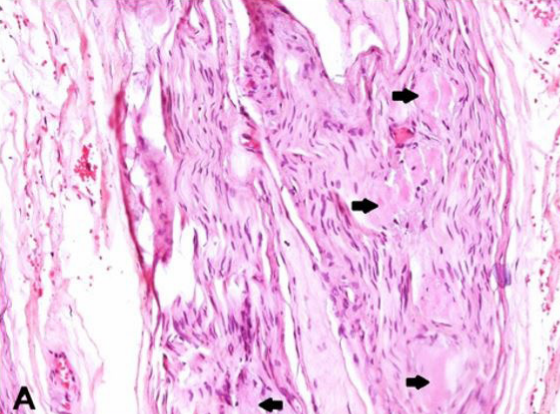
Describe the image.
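This is nerve tissue cut along its length, stained pink and purple. It shows wavy bundles of fibres with many slender, elongated dark nuclei running in the same direction. Between the fibres lie rounded clumps of pale pink, smooth, structureless material that lies outside the cells. Small clusters of red blood cells mark vessels at the edges of the field.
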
